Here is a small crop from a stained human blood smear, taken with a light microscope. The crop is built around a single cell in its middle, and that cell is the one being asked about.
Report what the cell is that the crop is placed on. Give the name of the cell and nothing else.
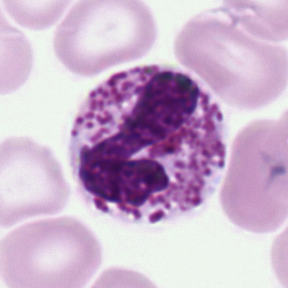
eosinophil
